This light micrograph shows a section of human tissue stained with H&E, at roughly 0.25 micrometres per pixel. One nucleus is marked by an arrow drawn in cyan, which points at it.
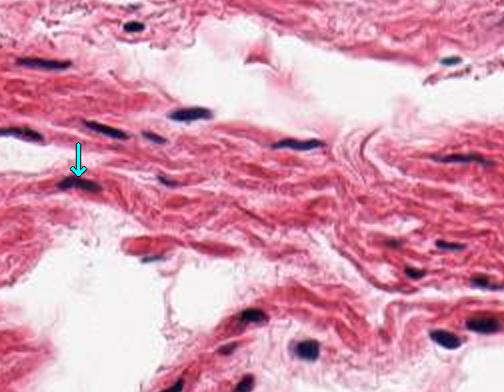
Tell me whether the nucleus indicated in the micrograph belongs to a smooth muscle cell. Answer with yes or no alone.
yes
